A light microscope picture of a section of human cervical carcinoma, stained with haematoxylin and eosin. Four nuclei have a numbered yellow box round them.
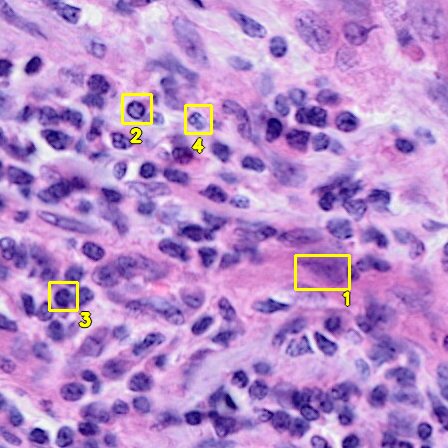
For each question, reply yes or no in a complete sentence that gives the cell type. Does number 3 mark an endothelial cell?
No, cell 3 is not an endothelial cell; it is a lymphocyte.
